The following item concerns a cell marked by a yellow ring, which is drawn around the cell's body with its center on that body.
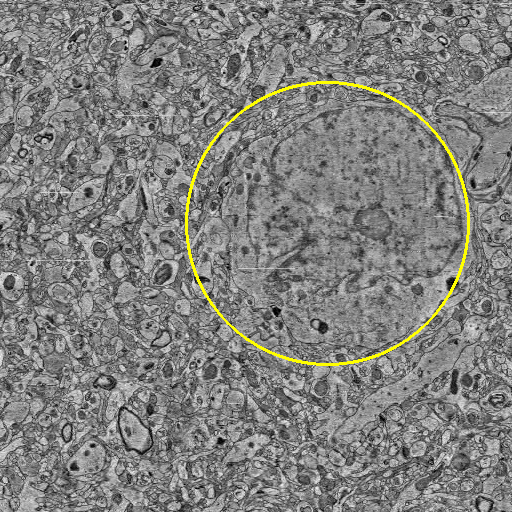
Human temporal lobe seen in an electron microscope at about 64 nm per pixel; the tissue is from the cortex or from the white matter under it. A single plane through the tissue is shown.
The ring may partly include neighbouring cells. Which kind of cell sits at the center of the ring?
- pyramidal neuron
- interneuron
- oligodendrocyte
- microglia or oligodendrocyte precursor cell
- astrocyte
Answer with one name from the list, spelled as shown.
interneuron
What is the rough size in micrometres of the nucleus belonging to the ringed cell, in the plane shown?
The nucleus comes to roughly 13 micrometres across in this plane.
